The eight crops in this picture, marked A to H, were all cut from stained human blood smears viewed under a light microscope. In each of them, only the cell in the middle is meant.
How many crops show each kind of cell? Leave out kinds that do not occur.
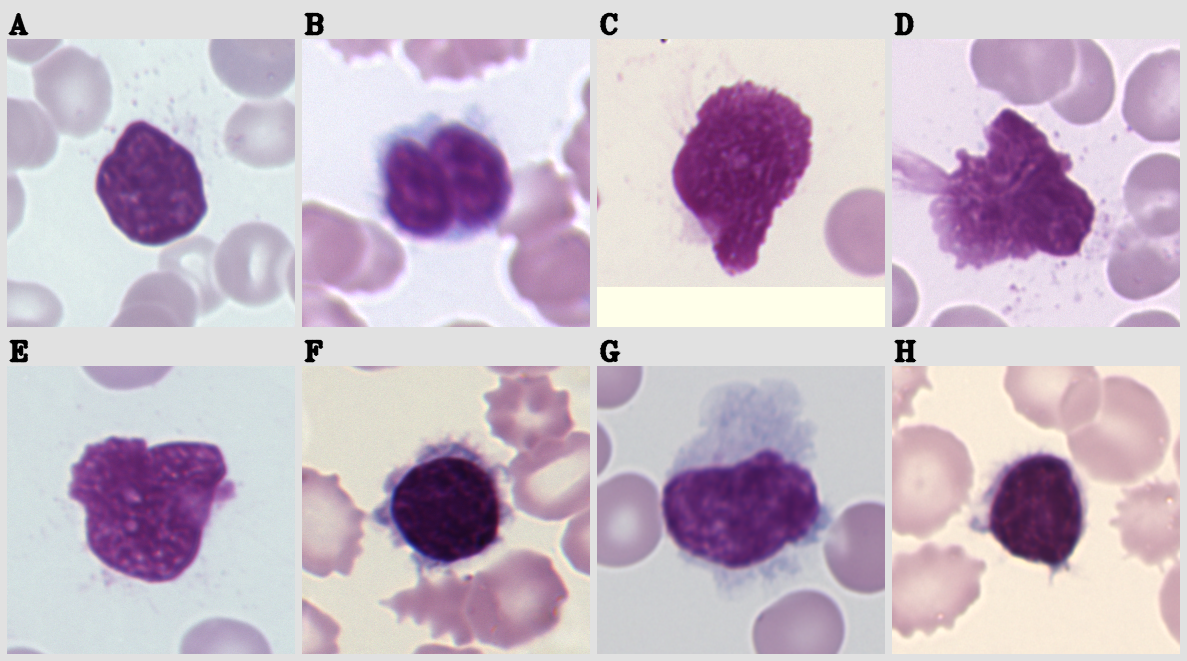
smudge cell: 4
hairy cell: 4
